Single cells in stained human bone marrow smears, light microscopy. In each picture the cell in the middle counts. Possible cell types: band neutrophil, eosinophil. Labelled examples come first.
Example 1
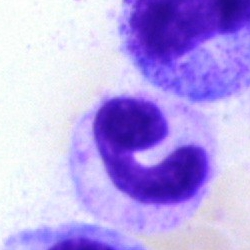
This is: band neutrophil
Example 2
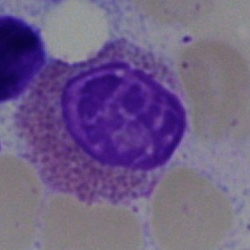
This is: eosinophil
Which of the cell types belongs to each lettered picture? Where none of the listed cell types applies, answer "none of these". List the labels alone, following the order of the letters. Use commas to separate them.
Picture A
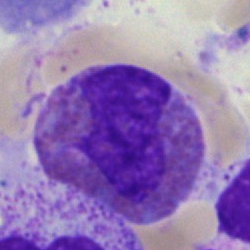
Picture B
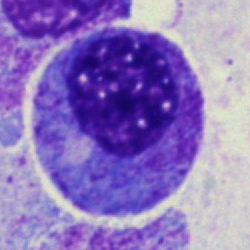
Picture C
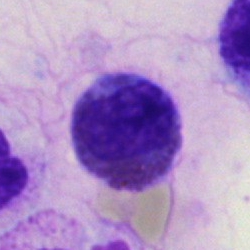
eosinophil, none of these, eosinophil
